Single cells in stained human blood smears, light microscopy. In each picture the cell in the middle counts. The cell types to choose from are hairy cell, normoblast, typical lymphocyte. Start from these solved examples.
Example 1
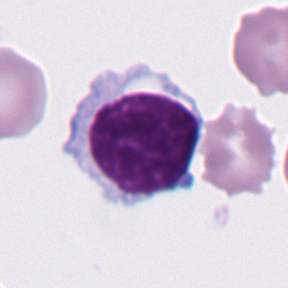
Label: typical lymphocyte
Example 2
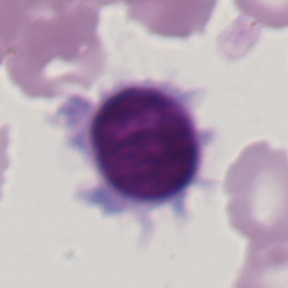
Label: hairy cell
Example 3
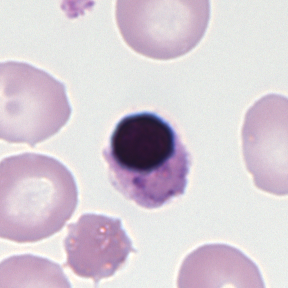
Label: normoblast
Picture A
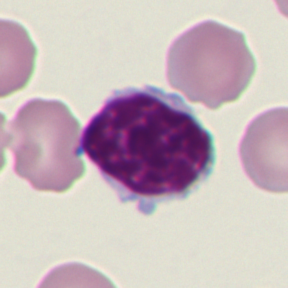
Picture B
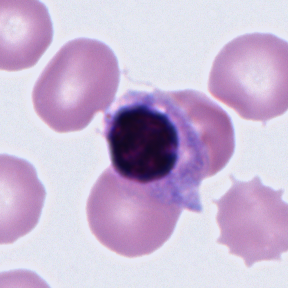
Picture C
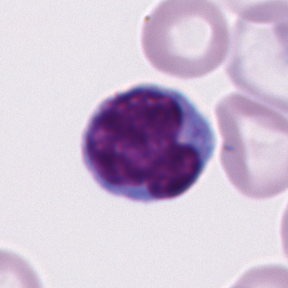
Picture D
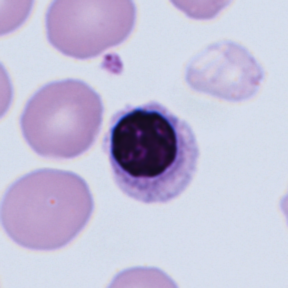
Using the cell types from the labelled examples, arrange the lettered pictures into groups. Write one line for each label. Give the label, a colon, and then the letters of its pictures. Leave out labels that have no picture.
normoblast: B, D
typical lymphocyte: A, C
